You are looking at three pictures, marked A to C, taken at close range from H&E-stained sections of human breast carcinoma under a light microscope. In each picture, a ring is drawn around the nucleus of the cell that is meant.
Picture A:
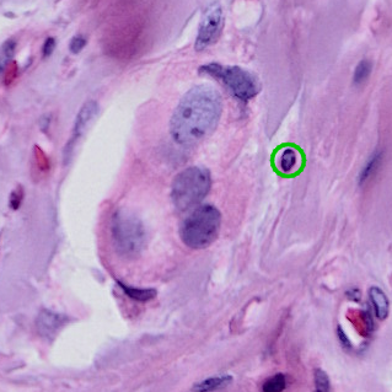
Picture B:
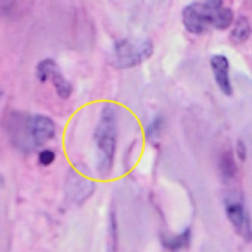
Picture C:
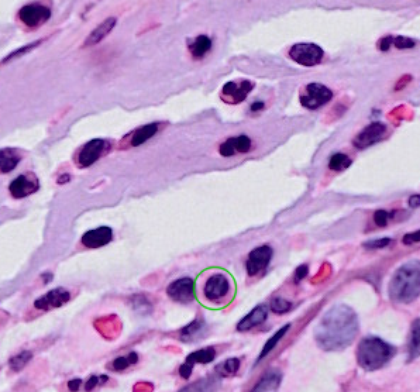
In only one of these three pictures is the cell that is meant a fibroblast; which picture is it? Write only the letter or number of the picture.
B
